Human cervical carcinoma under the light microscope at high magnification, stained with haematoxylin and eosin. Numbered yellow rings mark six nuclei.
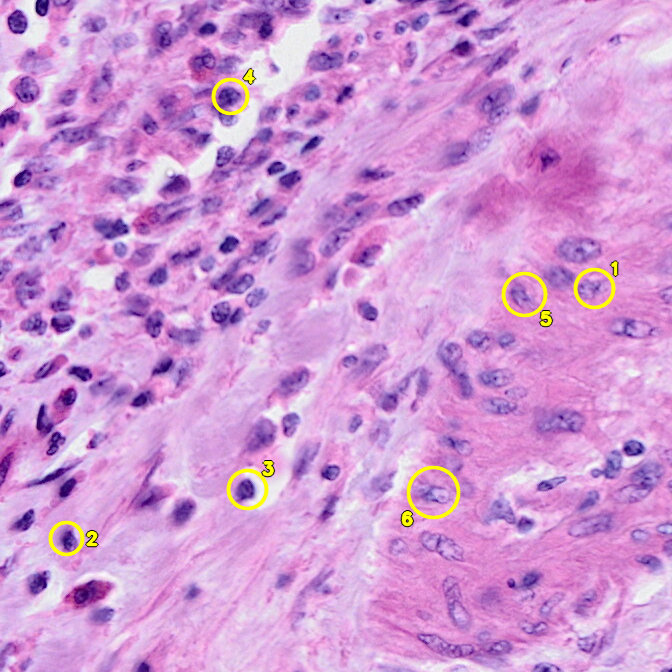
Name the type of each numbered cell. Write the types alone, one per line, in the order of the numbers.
smooth muscle cell
lymphocyte
lymphocyte
lymphocyte
smooth muscle cell
smooth muscle cell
